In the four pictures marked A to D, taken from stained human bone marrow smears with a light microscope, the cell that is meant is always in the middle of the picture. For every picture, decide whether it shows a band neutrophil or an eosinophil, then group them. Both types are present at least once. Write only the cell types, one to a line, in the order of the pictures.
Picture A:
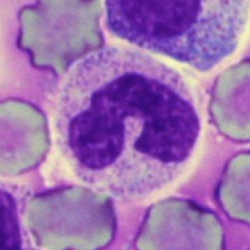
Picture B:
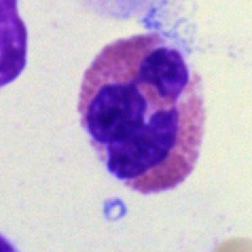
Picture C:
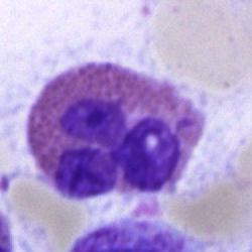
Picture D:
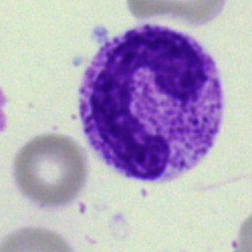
band neutrophil
eosinophil
eosinophil
band neutrophil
